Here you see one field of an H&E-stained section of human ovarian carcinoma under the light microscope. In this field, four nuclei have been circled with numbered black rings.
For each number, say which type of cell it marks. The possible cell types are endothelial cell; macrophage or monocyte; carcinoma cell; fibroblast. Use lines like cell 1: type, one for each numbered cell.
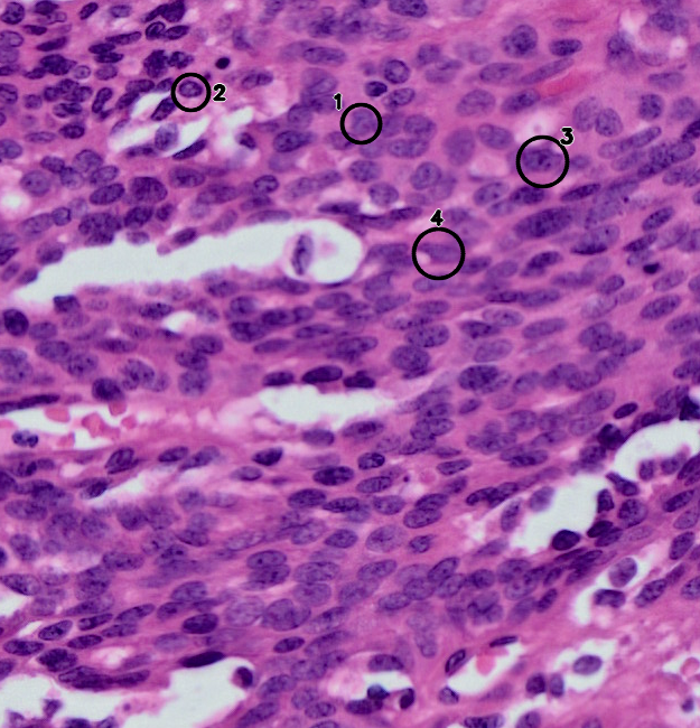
cell 1: carcinoma cell
cell 2: macrophage or monocyte
cell 3: carcinoma cell
cell 4: carcinoma cell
